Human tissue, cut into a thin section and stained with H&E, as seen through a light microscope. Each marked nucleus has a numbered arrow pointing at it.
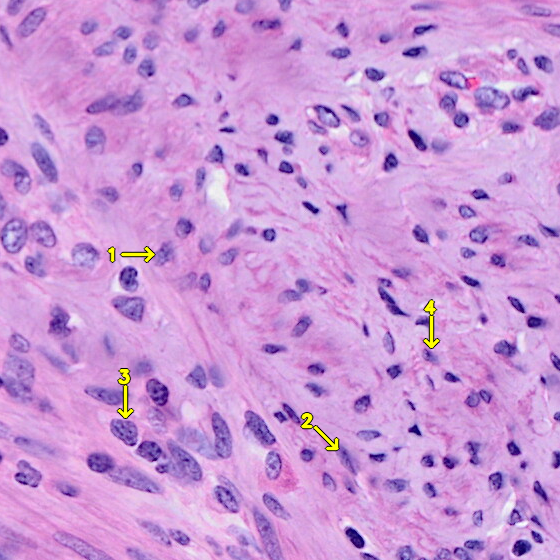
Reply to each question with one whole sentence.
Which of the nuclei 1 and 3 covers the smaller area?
The smaller nucleus is 1, and 3 covers roughly 1.5 times its area.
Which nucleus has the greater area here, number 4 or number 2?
Number 2 is larger; its area is about 2 times that of number 4.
